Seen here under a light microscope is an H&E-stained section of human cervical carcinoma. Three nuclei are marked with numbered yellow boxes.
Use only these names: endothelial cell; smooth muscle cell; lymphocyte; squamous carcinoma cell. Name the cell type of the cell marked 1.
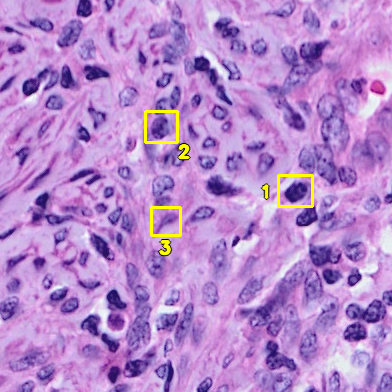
lymphocyte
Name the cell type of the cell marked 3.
smooth muscle cell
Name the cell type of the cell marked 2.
lymphocyte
